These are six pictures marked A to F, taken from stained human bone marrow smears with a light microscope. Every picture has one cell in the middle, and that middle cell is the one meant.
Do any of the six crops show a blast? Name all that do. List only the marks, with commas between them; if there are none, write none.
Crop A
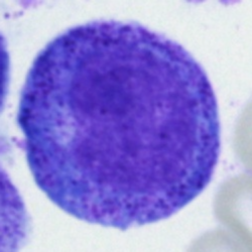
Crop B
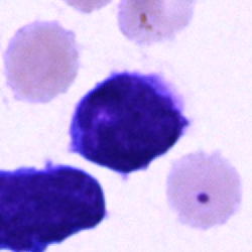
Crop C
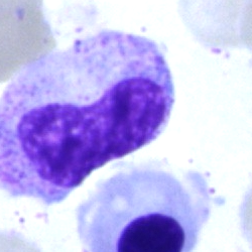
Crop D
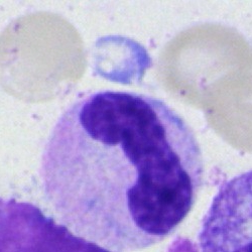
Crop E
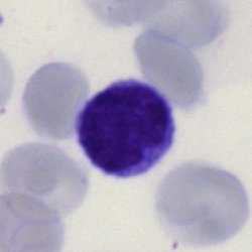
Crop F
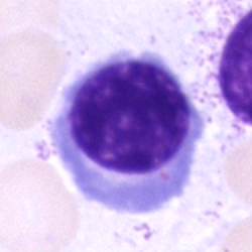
B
